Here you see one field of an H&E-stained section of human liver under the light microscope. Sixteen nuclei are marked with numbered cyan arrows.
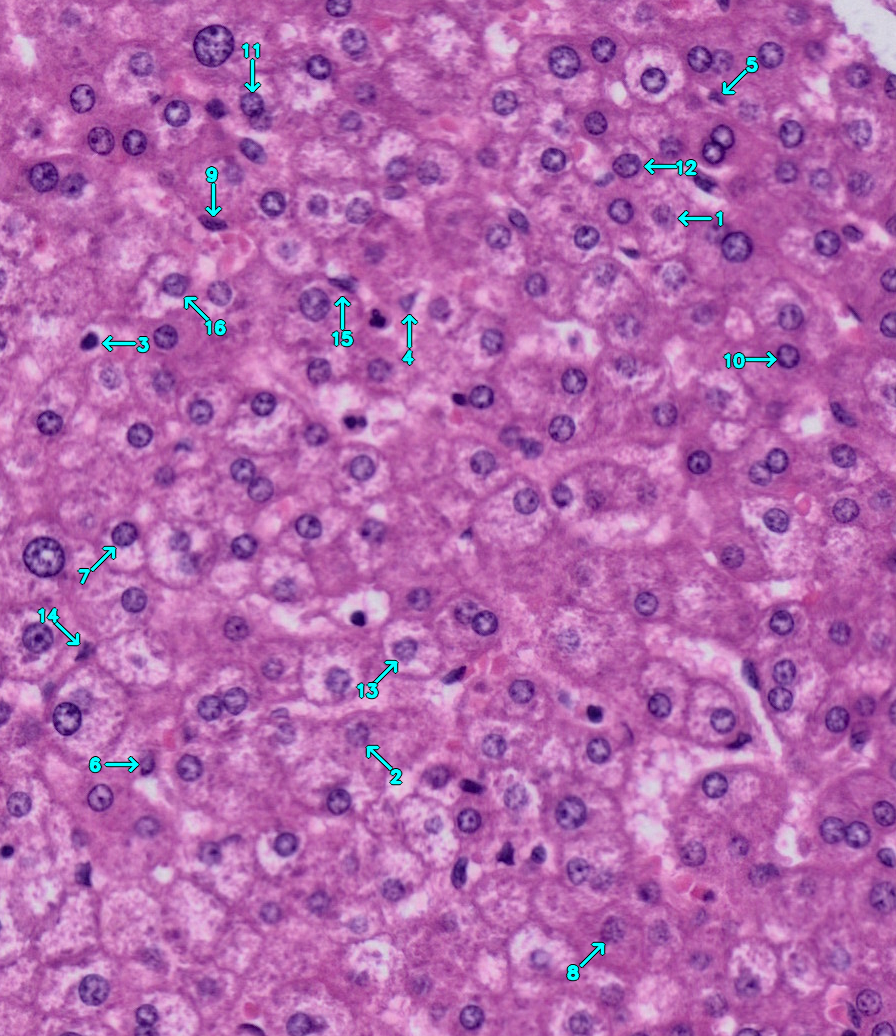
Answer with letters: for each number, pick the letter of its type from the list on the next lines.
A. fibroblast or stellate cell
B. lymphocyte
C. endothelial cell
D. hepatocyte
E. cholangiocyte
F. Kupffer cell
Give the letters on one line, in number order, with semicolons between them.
D; D; B; F; C; F; D; D; A; D; D; D; D; C; C; D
